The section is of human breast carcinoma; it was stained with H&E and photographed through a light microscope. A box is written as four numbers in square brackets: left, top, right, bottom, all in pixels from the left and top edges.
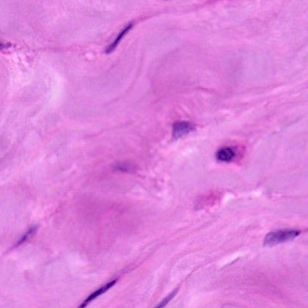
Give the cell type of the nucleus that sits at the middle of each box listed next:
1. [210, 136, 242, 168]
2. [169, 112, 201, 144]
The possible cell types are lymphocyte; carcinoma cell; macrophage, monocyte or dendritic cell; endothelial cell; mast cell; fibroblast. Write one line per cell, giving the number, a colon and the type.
1: mast cell
2: fibroblast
